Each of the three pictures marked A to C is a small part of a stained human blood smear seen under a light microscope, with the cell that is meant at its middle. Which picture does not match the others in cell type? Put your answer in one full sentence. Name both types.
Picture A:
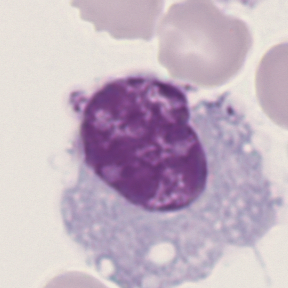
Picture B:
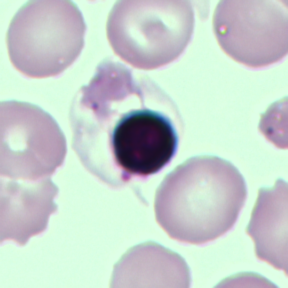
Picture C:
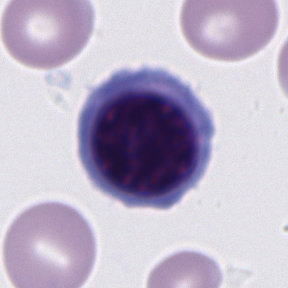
Unlike the rest, which show normoblasts, picture A shows a plasma cell.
